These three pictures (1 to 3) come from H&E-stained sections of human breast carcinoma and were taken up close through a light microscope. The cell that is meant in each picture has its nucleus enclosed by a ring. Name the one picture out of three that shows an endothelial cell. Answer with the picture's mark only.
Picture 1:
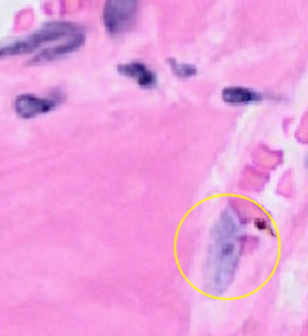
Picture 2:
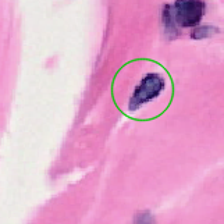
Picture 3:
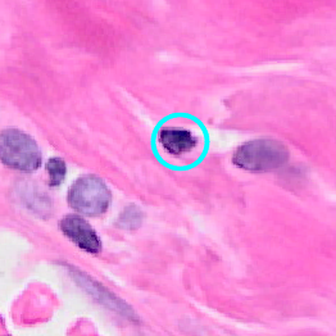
1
